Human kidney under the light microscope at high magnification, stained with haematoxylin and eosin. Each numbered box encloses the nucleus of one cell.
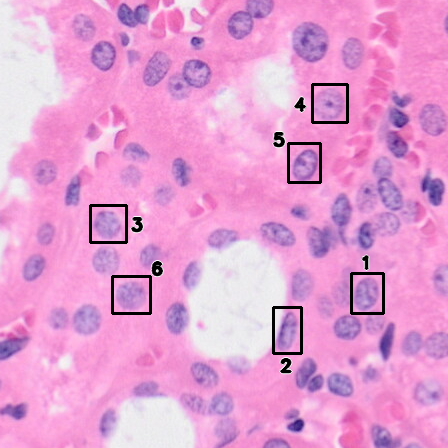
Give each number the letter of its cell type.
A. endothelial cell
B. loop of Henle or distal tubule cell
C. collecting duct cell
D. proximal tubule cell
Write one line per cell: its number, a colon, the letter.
1: C
2: B
3: B
4: D
5: D
6: B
